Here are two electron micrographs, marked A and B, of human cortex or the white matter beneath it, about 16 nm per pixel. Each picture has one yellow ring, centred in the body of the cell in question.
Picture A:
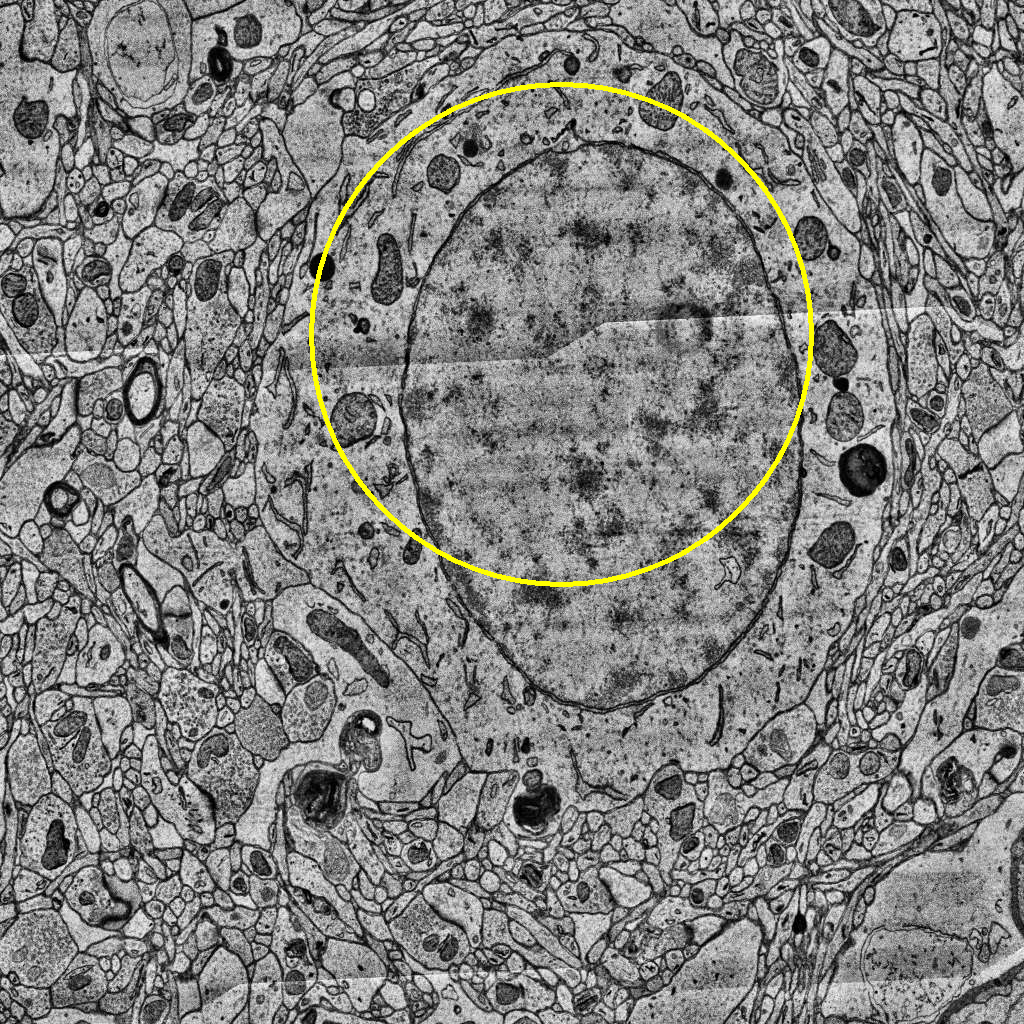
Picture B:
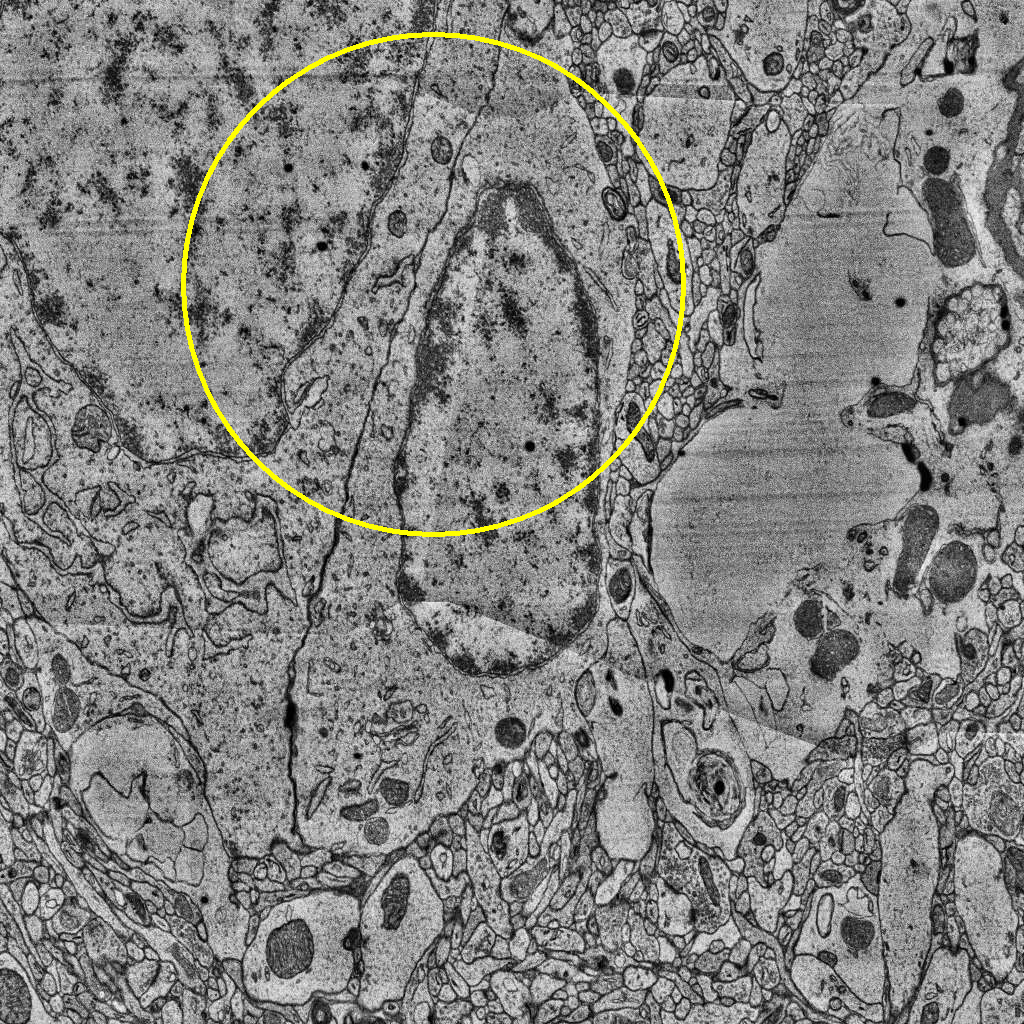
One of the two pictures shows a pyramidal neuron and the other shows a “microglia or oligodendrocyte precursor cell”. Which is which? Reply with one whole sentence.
In picture A the cell is a pyramidal neuron; in picture B, a “microglia or oligodendrocyte precursor cell”.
